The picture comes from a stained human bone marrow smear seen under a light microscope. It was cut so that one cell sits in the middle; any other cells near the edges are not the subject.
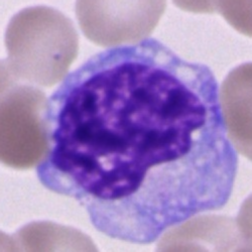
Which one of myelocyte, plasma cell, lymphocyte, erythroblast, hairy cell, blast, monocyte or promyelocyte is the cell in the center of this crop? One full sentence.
This particular crop is centered on a monocyte.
